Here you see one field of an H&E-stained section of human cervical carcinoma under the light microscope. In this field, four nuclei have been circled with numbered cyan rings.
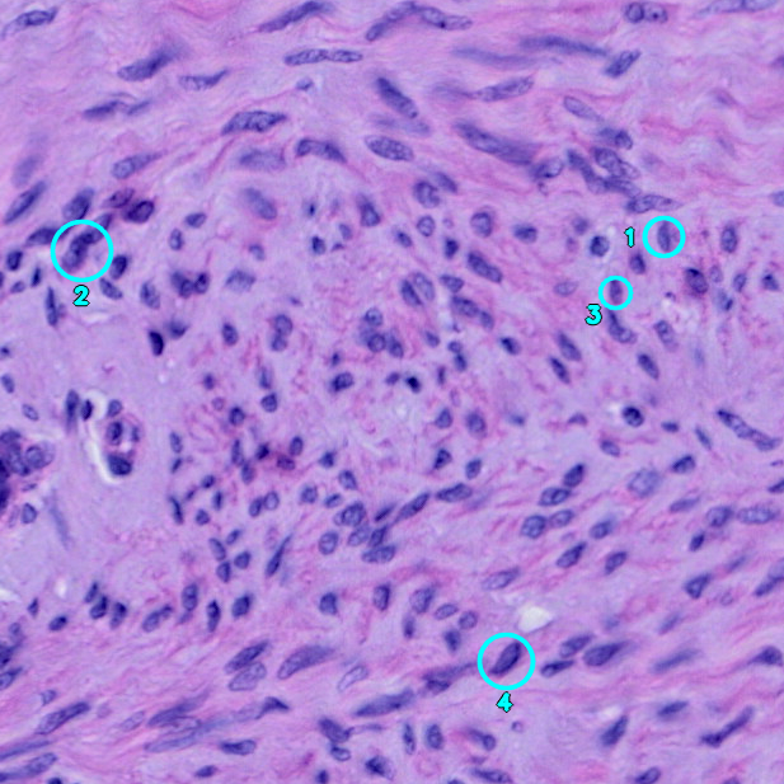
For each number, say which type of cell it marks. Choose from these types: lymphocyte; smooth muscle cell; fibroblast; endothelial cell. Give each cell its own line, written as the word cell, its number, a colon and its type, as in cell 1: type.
cell 1: smooth muscle cell
cell 2: fibroblast
cell 3: smooth muscle cell
cell 4: smooth muscle cell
